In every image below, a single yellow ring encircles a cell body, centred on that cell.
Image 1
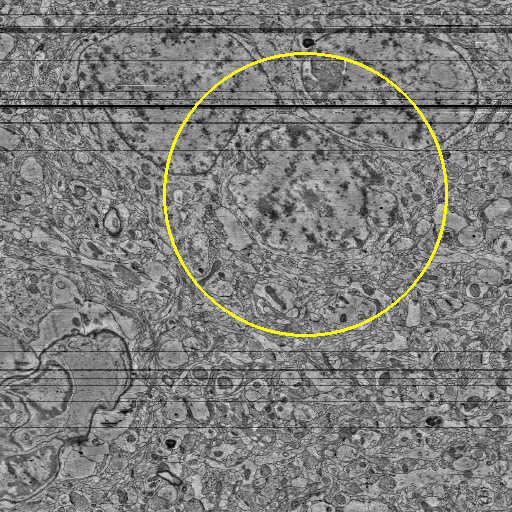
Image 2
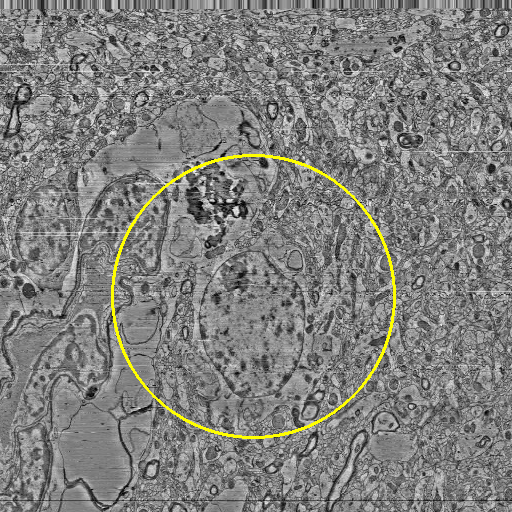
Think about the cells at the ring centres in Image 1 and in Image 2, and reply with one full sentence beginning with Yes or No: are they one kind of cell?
No, the cells centred in the rings of Image 1 and Image 2 are two kinds of cell.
